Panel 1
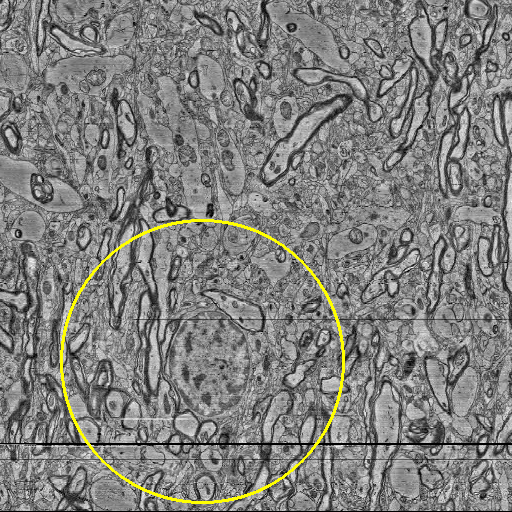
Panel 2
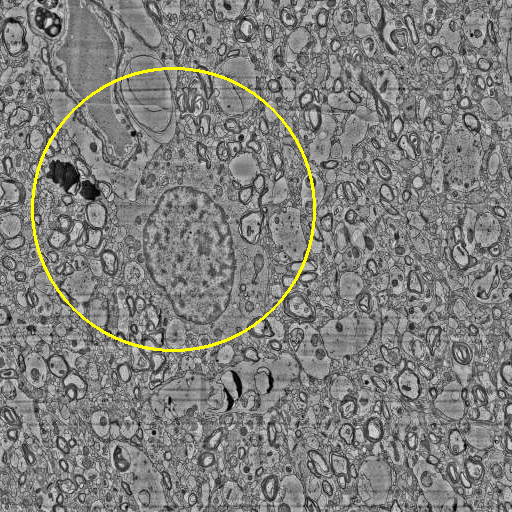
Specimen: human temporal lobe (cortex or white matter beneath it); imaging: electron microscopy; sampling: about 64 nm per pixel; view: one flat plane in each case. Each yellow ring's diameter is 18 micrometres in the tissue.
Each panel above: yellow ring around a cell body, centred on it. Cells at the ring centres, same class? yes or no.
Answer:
yes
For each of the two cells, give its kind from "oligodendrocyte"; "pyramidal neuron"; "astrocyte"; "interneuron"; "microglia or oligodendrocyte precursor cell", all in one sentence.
Each of the two pictures has an oligodendrocyte at the ring centre.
